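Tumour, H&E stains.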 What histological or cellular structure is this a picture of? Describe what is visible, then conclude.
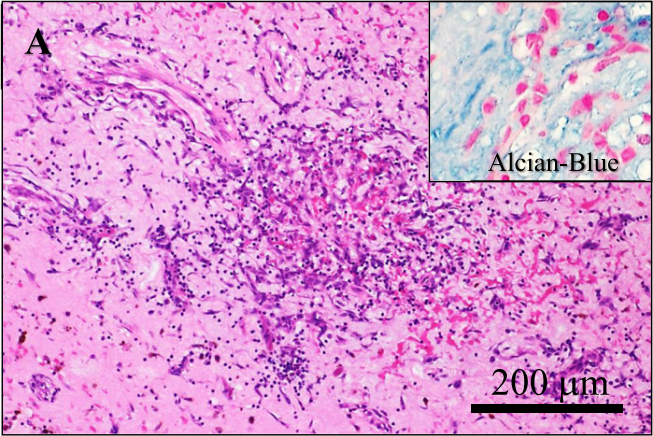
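Most of the field is a pale, loose, finely fibrillar ground substance. Cells are sparse in much of the background. The inset shows a pale blue background.
Conclusion: myxoid matrix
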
